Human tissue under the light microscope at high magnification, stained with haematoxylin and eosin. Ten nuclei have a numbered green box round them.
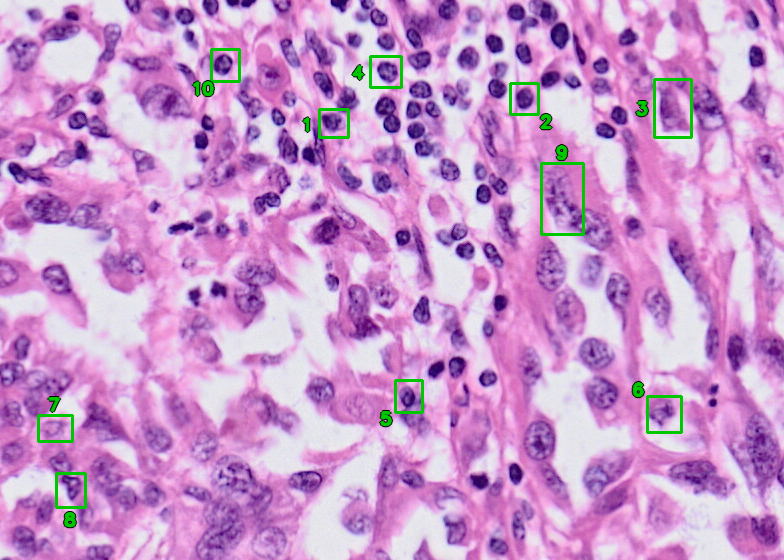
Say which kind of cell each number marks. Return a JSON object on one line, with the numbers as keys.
{"1": "lymphocyte", "2": "lymphocyte", "3": "melanoma cell", "4": "lymphocyte", "5": "lymphocyte", "6": "melanoma cell", "7": "melanoma cell", "8": "melanoma cell", "9": "melanoma cell", "10": "lymphocyte"}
